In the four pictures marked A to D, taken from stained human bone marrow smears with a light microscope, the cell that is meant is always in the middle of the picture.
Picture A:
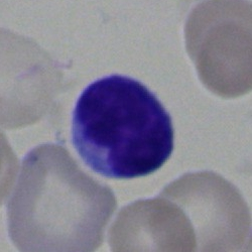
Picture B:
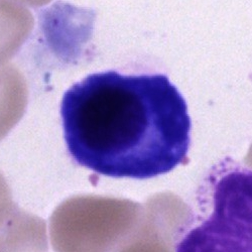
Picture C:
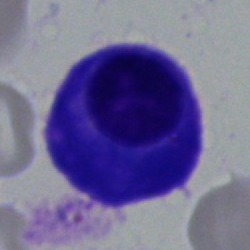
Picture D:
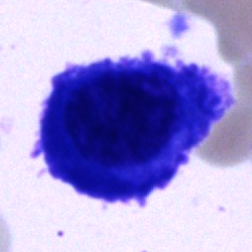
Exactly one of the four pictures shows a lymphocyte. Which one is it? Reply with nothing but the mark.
A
